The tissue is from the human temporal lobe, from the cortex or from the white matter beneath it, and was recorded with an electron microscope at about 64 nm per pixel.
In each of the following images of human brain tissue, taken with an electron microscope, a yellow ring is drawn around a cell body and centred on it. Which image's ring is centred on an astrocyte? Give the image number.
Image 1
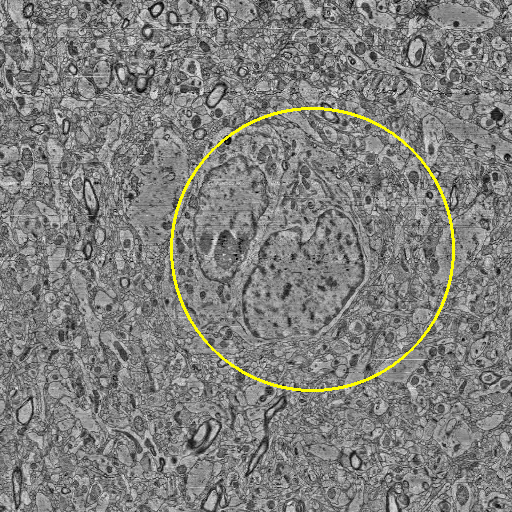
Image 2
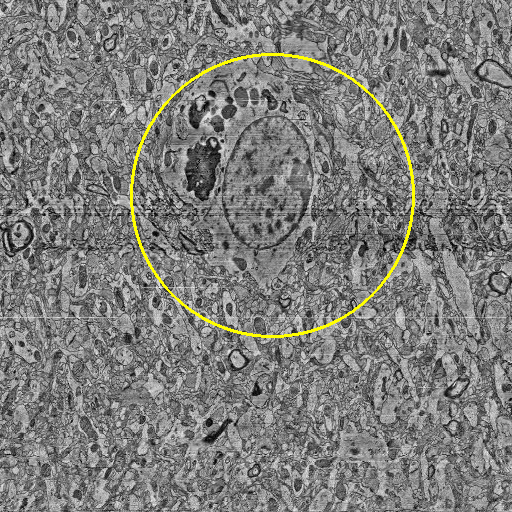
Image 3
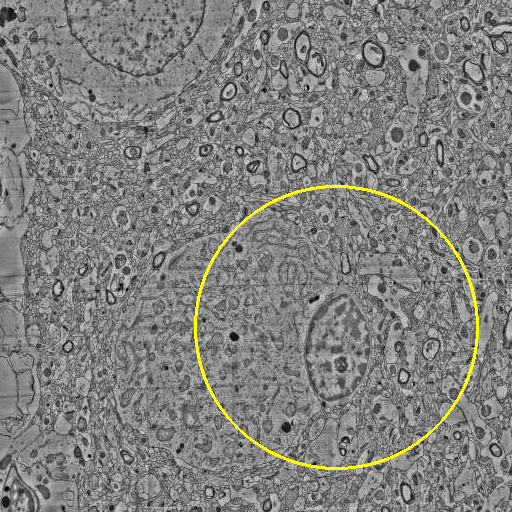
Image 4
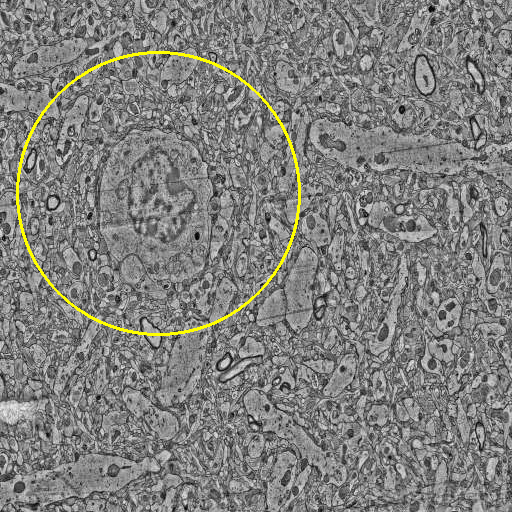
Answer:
2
